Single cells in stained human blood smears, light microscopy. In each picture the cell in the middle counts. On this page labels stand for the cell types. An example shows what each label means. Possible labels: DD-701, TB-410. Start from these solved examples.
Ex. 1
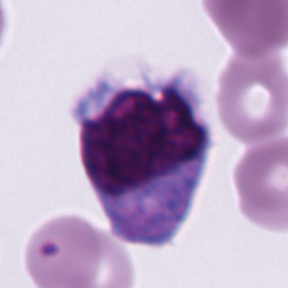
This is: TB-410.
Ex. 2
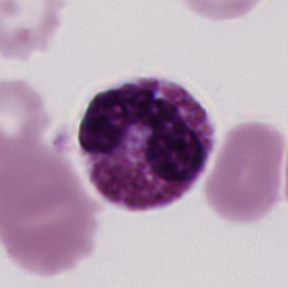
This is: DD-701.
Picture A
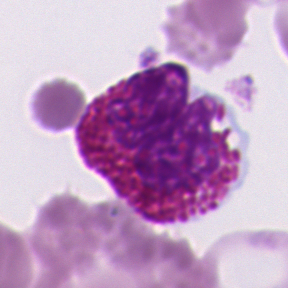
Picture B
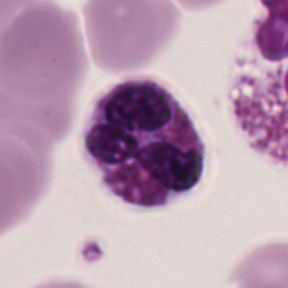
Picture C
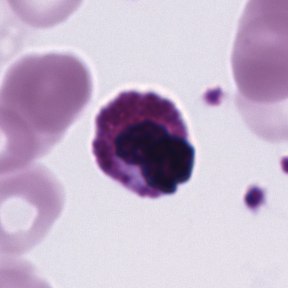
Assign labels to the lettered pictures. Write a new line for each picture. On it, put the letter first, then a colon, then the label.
A: DD-701.
B: DD-701.
C: DD-701.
